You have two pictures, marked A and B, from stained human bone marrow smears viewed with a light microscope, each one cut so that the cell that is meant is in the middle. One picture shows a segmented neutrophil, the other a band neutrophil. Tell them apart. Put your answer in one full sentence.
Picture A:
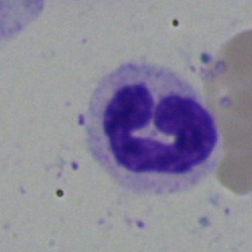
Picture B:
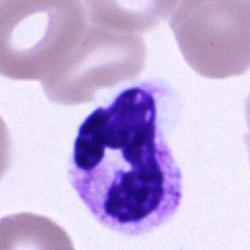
Picture B shows a segmented neutrophil, while picture A shows a band neutrophil.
